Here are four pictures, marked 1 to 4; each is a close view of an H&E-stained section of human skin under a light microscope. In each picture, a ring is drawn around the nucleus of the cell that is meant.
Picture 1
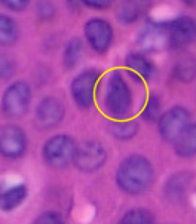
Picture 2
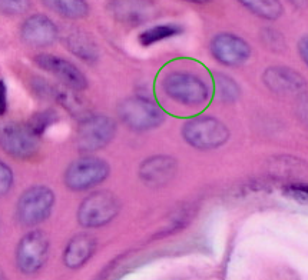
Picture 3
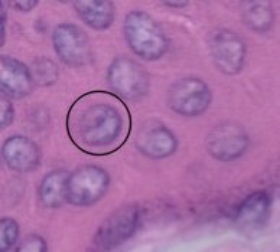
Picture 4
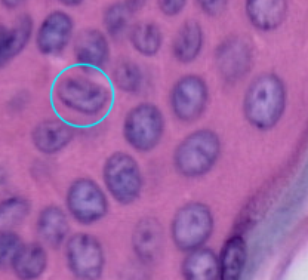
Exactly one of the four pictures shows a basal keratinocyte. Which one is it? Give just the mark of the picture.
1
